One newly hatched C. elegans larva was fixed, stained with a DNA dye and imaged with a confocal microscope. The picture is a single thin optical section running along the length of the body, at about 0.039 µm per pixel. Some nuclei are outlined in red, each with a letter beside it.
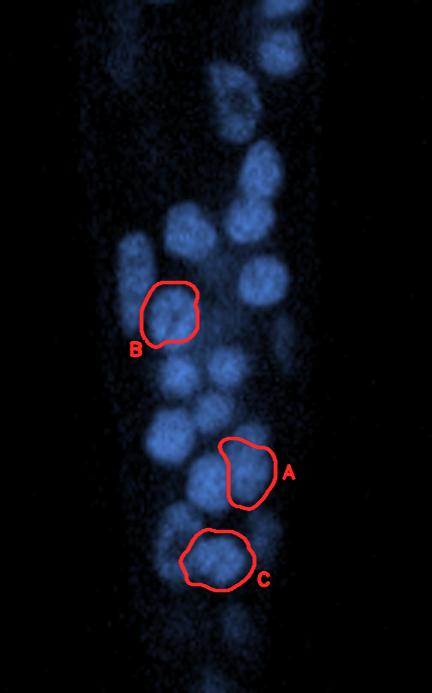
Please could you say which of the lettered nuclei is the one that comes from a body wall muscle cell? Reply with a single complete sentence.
A is the one that belongs to a body wall muscle cell.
